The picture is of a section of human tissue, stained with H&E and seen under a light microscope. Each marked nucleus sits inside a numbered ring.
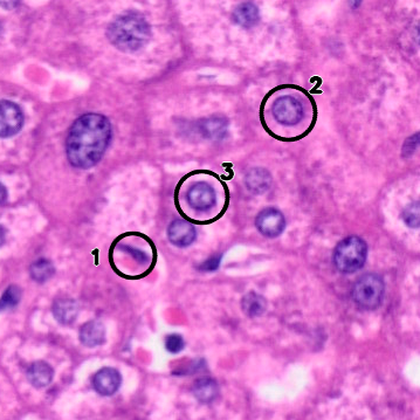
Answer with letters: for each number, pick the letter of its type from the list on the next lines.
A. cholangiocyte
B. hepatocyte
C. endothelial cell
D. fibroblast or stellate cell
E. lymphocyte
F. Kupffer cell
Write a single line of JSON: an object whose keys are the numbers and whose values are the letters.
{"1": "F", "2": "B", "3": "B"}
